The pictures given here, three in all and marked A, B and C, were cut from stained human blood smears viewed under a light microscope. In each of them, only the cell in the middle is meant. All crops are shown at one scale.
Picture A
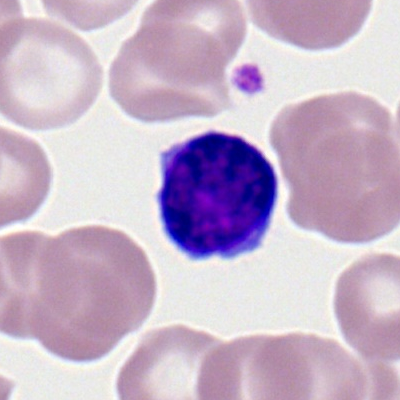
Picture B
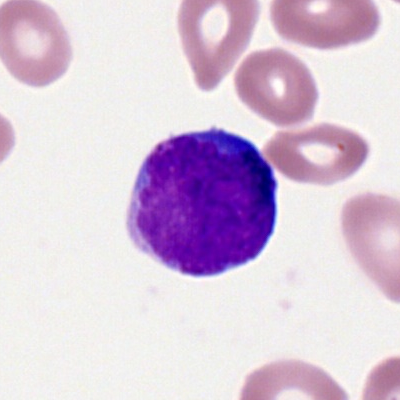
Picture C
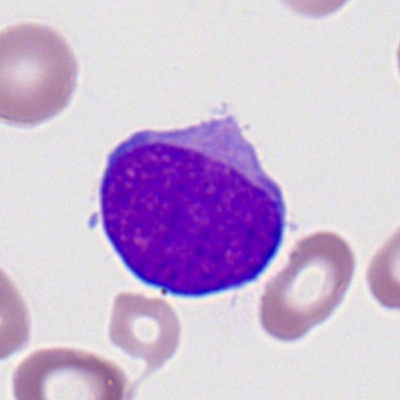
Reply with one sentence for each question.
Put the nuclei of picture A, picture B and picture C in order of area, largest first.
From the largest down, the order is C, B, A.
